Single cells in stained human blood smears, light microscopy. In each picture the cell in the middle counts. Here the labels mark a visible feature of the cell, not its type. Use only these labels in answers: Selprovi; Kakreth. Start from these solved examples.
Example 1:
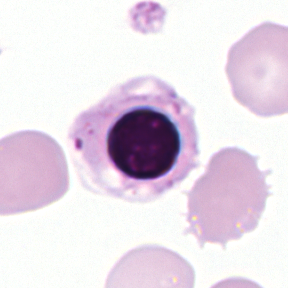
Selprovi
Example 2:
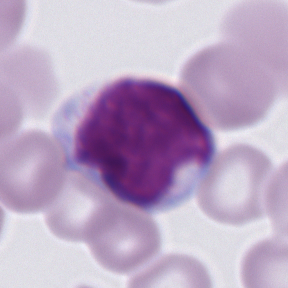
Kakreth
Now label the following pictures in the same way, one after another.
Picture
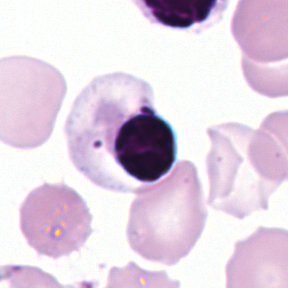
Selprovi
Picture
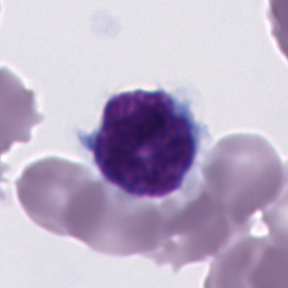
Kakreth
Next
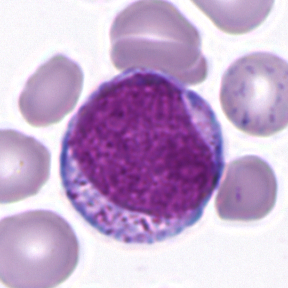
Kakreth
